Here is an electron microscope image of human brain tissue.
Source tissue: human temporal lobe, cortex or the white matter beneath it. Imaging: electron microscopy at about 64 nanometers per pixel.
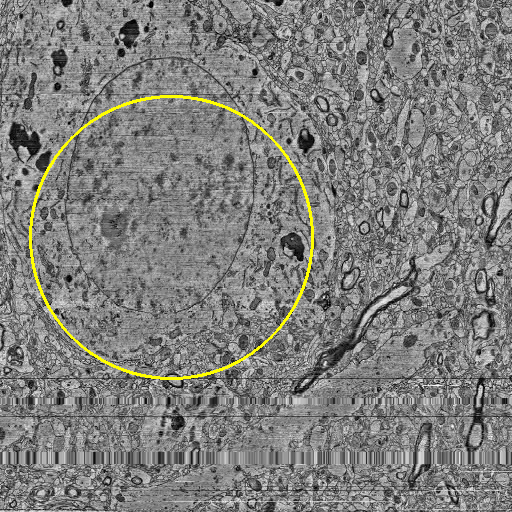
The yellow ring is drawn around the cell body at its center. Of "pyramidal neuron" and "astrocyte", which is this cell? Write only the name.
pyramidal neuron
